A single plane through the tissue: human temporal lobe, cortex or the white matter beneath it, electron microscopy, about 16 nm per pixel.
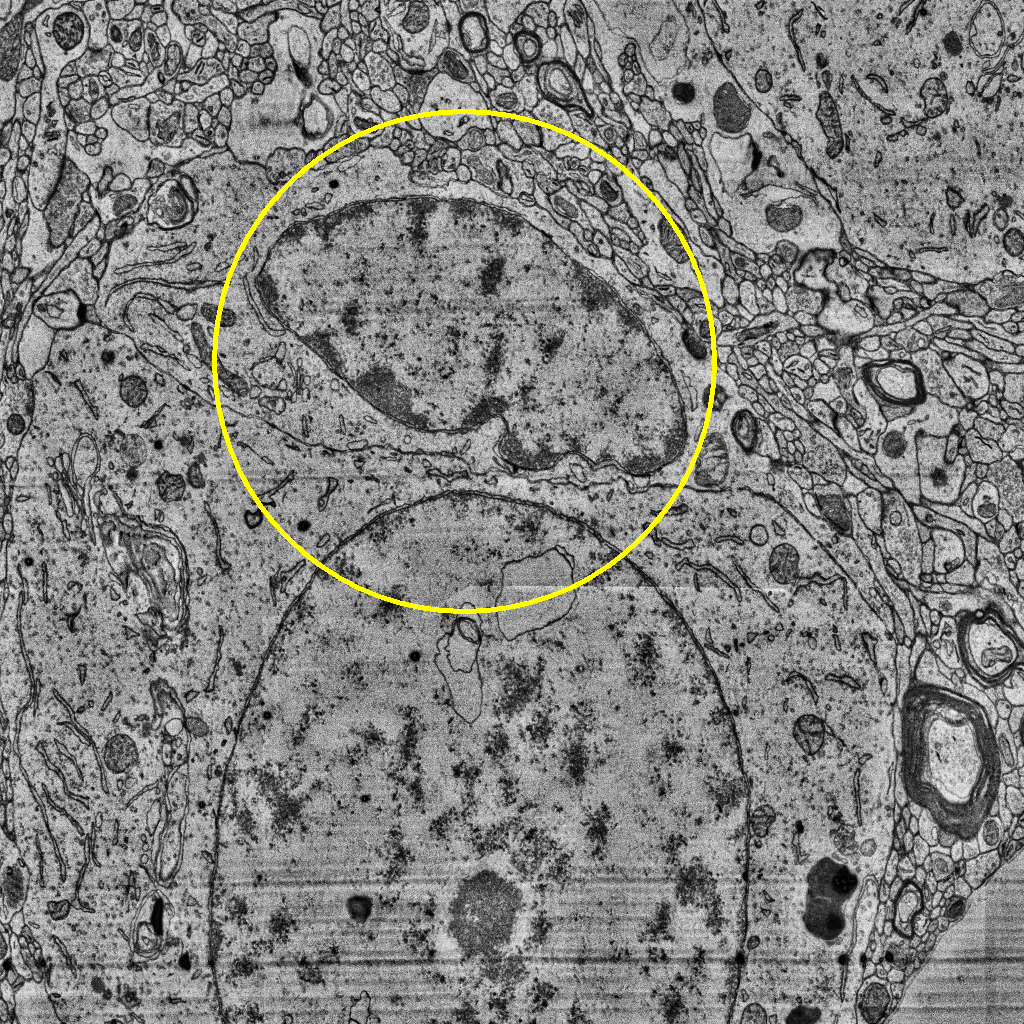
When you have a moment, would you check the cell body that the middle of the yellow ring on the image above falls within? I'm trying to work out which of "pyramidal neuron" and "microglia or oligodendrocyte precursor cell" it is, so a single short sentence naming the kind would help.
This cell body belongs to a microglial cell or oligodendrocyte precursor cell.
